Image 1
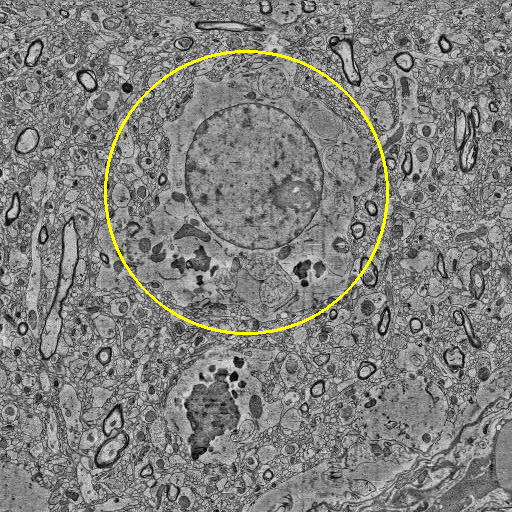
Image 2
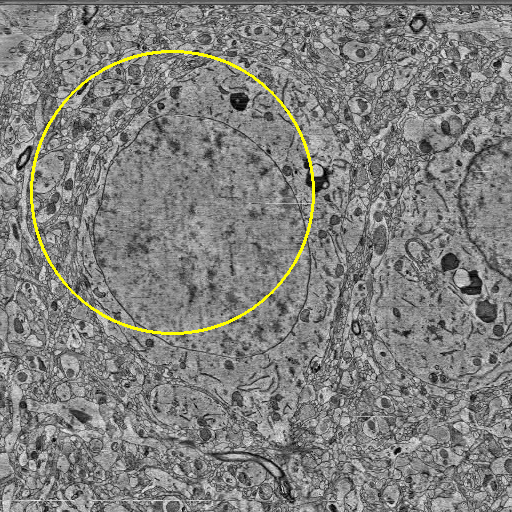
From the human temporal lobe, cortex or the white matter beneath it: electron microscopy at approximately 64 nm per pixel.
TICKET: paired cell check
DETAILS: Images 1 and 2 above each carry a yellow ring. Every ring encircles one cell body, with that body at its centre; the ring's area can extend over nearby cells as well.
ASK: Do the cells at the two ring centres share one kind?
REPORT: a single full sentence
No, the ring-centre cells of Images 1 and 2 belong to two kinds.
